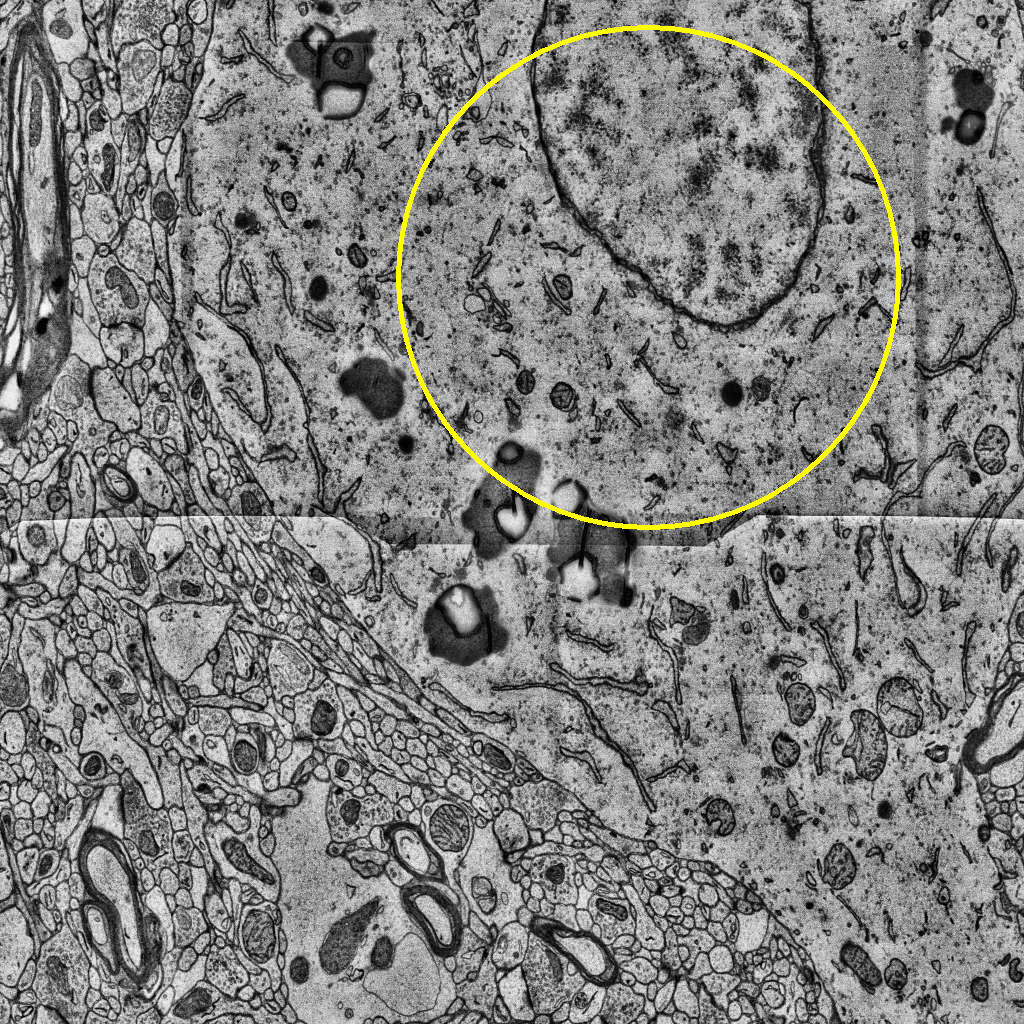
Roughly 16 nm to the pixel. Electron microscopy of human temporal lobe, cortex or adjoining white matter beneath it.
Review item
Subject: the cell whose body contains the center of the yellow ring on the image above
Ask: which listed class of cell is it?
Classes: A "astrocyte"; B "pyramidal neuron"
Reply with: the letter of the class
B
